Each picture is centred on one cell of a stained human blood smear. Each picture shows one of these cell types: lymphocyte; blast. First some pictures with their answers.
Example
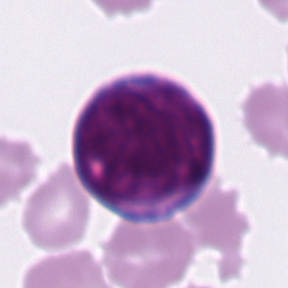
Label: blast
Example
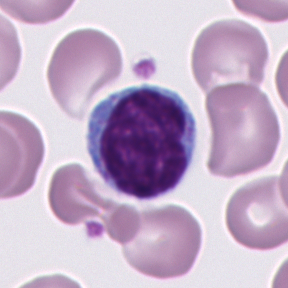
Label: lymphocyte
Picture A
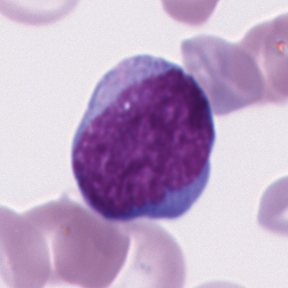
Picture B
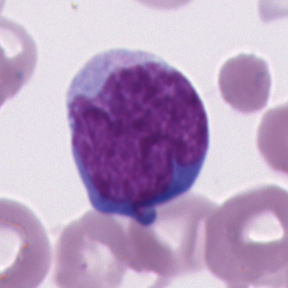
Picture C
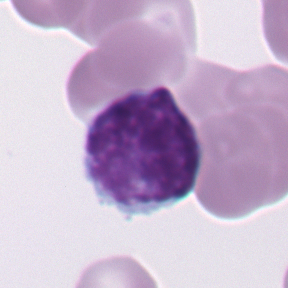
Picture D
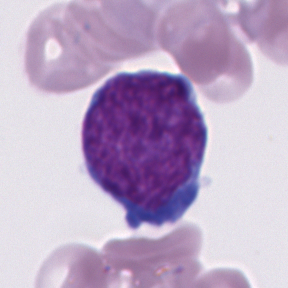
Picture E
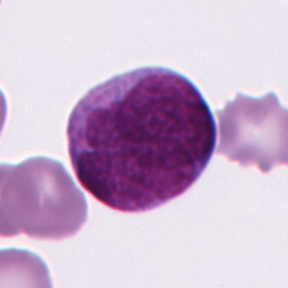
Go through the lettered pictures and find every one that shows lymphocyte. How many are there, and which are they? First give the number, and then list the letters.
1: C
